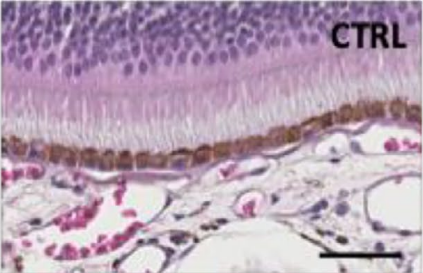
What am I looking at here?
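This section shows the outer retina resting on a single row of cuboidal pigment epithelial cells filled with dark brown pigment. Above this pigmented row lie pale pink, finely striated photoreceptor segments, and at the top a dense band of small, round, purple nuclei. The pigmented cells form a continuous, regular layer of even height. Beneath them lies loose connective tissue of the choroid containing vessels with red blood cells.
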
